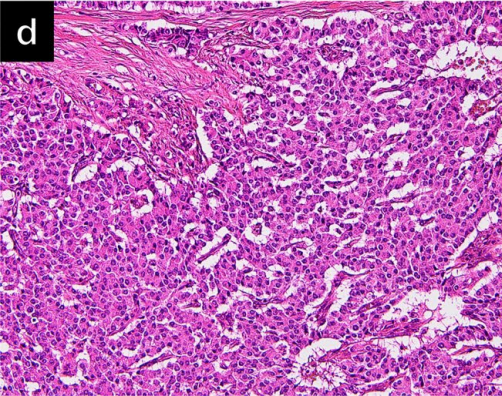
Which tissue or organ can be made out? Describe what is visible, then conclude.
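Neuroendocrine tumor. Monotonous polygonal cells with round nuclei in trabecular and nested arrangement. Pink granular cytoplasm. Delicate vascular stroma between the cell groups.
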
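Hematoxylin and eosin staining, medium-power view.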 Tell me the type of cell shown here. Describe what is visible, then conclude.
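Densely packed polygonal cells with moderate pink cytoplasm. Round to oval nuclei with some variation in size. Cells form a solid proliferation with fibrous tissue at the top edge. On this evidence: Atypical polygonal proliferating tumor cells.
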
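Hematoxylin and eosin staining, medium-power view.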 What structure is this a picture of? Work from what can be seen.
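Tumor cells form cords, ribbons and small nests. Thin fibrovascular septa and slit-like spaces separate the cords. Sheet-like crowding of uniform cells without normal acini or ducts.
Hence: trabecular or nested patterns.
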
